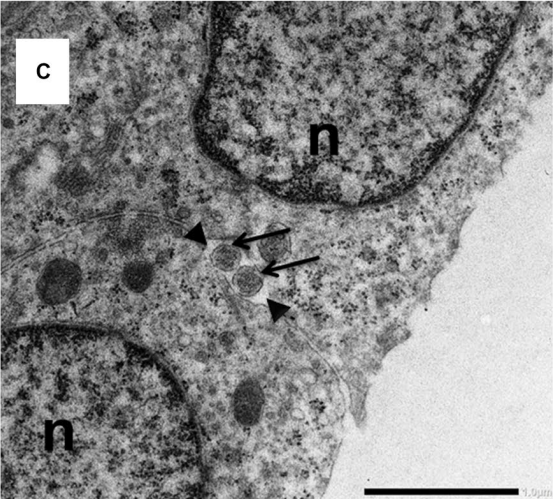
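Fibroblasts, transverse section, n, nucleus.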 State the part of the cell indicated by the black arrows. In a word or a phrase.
axoneme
